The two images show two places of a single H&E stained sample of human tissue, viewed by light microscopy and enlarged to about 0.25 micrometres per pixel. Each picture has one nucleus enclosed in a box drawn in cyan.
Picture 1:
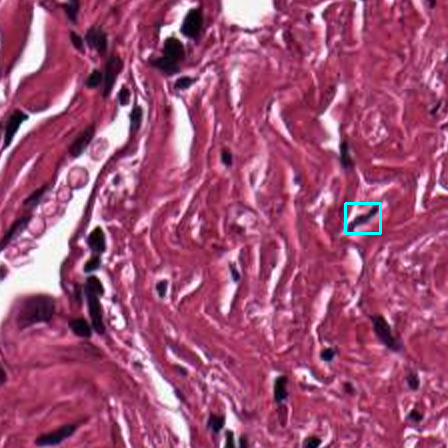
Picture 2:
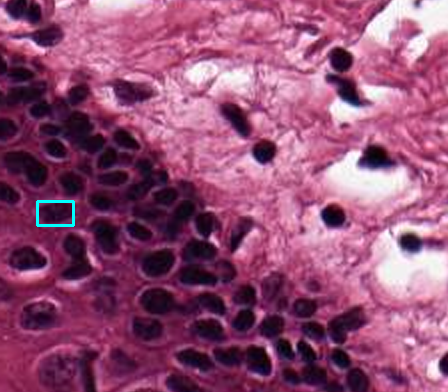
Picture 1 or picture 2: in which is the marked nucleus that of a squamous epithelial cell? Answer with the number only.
2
